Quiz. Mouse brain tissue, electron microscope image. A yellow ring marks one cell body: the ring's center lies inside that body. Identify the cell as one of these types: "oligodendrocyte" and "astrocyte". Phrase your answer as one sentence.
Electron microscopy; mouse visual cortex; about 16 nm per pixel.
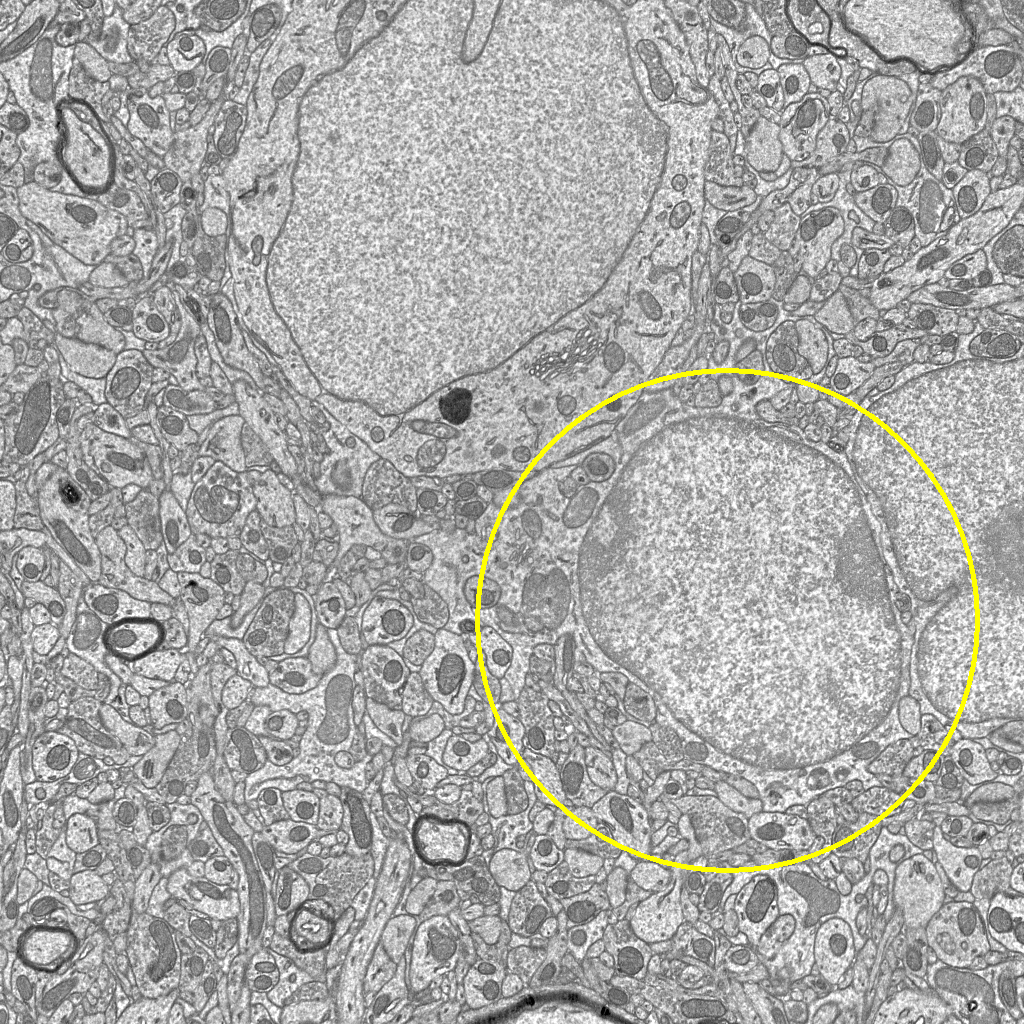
At the center of the ring sits an astrocyte.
